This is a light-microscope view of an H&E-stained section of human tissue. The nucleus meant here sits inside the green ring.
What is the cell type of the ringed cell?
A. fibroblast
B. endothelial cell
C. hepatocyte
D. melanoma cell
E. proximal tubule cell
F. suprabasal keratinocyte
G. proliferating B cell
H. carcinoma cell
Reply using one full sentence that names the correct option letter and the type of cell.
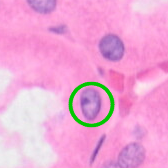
Of the options given, E is right: the ringed cell is a proximal tubule cell.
